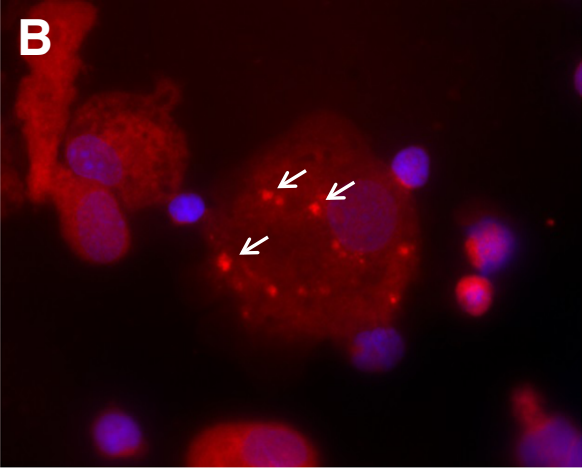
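Large rounded cells with abundant red cytoplasm lie among much smaller cells with round blue nuclei. Each large cell has a single oval blue nucleus set off to one side of the cell body. The red cytoplasm is finely granular, and in one large cell several small, bright red puncta are scattered through it around the nucleus. The small cells have scant cytoplasm, and some of them show a thin rim of red. At the upper left, an irregular, intensely red cell mass with ragged edges lies next to another large cell.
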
